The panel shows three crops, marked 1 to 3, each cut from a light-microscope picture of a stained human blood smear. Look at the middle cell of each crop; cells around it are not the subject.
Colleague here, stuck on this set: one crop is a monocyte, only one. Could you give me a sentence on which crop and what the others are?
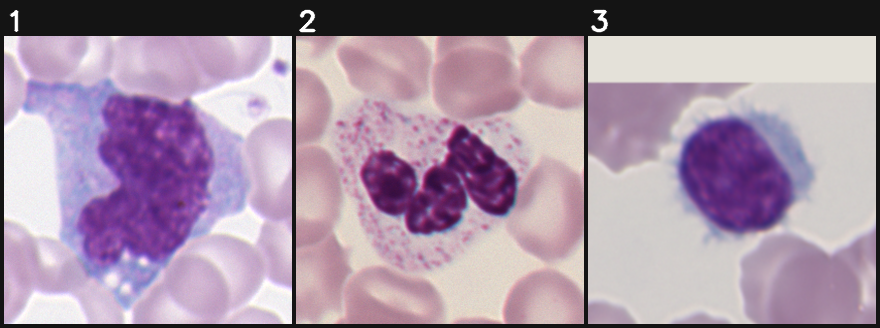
Crop 1 contains a monocyte; meanwhile, crop 2 is a segmented neutrophil and crop 3 is a hairy cell.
